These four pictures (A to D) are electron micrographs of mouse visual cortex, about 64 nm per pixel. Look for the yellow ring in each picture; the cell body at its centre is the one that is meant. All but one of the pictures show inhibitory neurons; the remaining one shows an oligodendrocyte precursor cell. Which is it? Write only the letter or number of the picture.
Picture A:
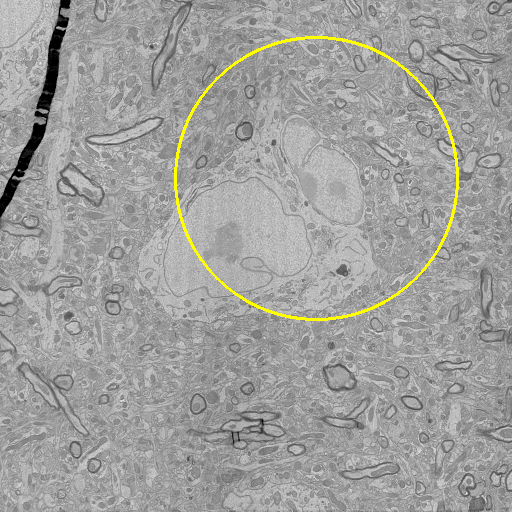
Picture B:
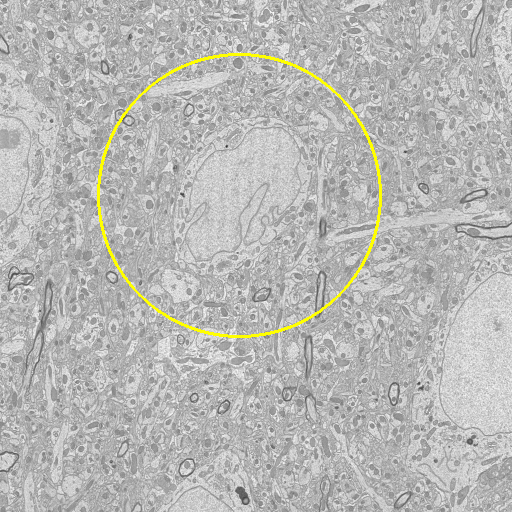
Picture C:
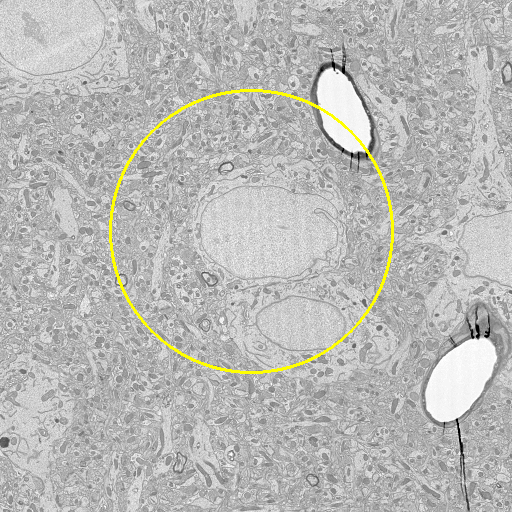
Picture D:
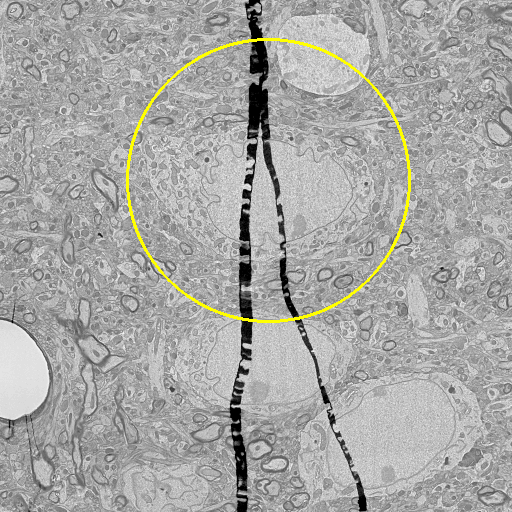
A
